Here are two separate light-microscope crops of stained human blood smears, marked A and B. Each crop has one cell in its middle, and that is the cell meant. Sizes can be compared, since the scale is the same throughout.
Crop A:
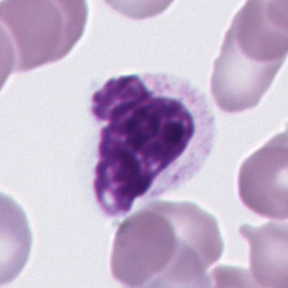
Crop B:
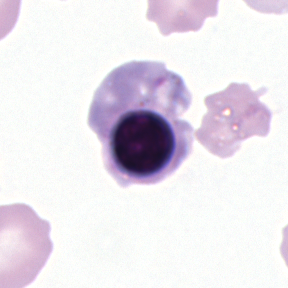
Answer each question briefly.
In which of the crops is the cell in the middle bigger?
A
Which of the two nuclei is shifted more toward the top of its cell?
A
